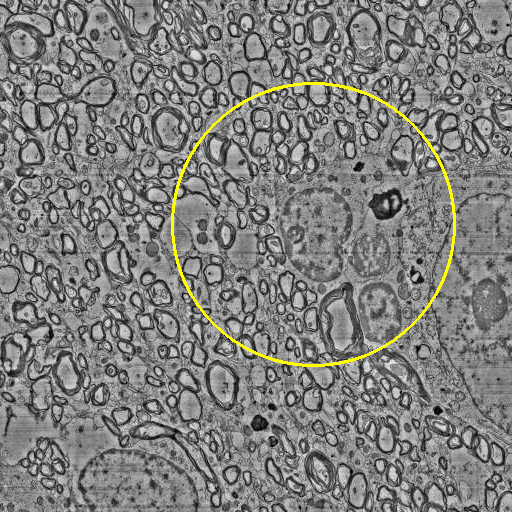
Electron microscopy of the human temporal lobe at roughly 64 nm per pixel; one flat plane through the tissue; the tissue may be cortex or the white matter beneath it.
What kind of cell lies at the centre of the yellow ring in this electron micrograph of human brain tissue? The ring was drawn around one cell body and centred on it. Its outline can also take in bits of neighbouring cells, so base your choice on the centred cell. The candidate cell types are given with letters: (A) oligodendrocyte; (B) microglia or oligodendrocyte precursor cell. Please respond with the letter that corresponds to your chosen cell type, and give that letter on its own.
A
